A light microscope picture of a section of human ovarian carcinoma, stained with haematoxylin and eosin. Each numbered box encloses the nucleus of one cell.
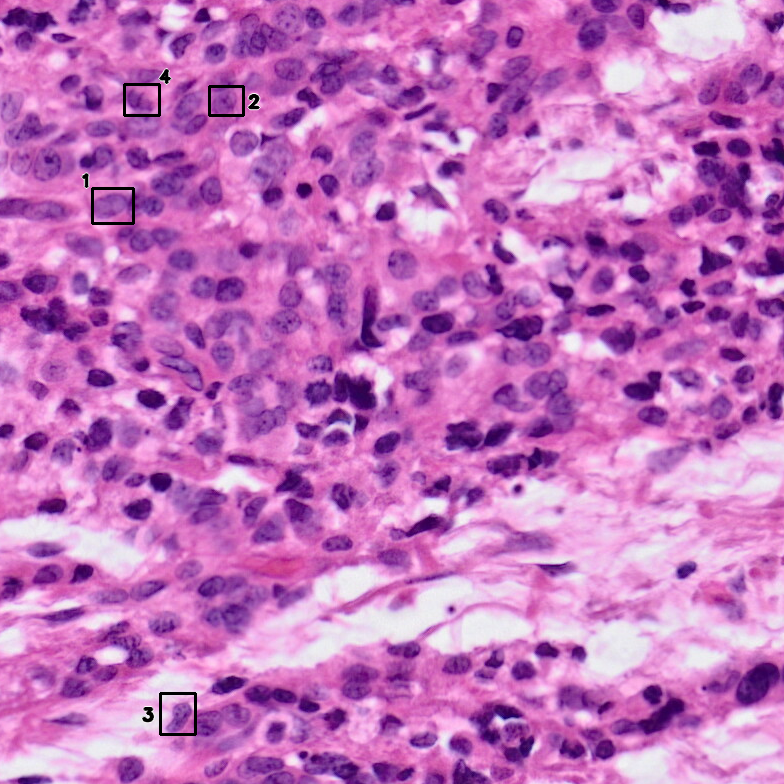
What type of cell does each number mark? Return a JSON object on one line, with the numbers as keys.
{"1": "carcinoma cell", "2": "carcinoma cell", "3": "macrophage or monocyte", "4": "carcinoma cell"}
